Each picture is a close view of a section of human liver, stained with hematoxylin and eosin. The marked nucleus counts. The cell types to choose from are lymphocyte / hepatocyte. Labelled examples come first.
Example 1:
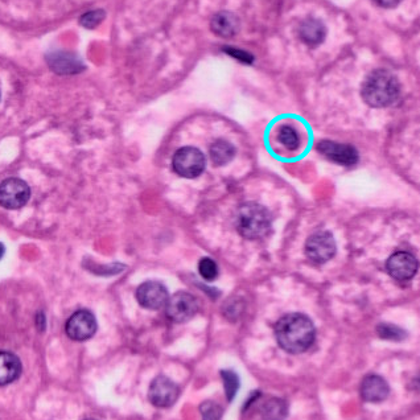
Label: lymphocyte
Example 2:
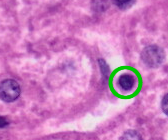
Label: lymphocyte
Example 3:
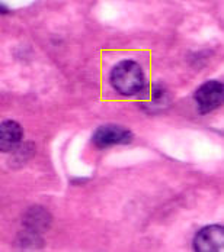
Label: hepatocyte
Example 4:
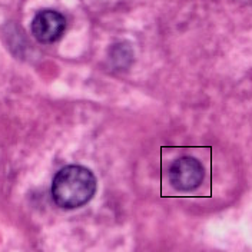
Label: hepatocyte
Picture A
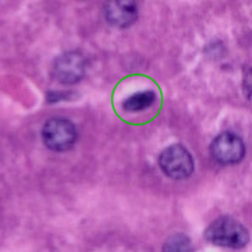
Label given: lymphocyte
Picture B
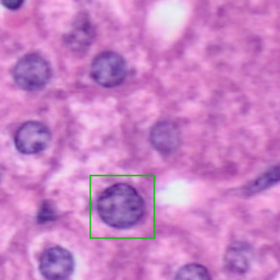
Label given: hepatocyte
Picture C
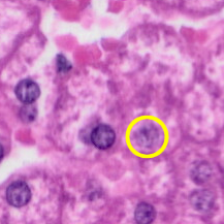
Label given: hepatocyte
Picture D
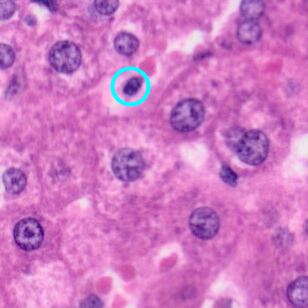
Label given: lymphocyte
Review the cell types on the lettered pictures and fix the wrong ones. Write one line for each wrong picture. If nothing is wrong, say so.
All correct.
